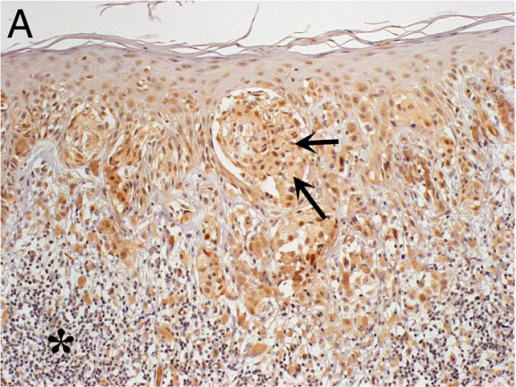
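Skin with an overlying epidermis capped by a thin flaky cornified layer, beneath and within which lie rounded nests of large tumor cells. The tumor cells have abundant cytoplasm stained light to moderate brown and round nuclei, and form discrete nests bordered by pale connective tissue. Toward the base a dense band of small cells with dark round nuclei and little cytoplasm crowds the stroma around the nests.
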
